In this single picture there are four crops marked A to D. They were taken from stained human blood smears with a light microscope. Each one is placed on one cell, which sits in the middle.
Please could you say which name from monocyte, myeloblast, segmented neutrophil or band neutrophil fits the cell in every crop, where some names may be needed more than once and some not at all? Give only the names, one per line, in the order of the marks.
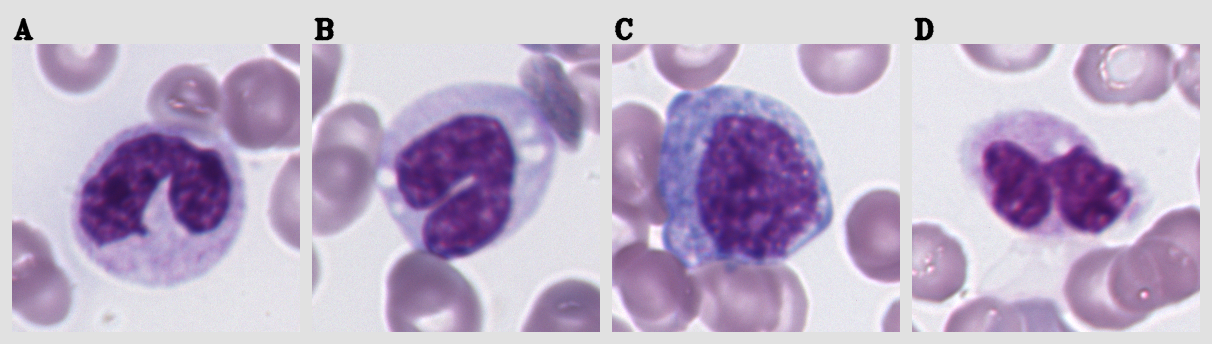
band neutrophil
band neutrophil
monocyte
segmented neutrophil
